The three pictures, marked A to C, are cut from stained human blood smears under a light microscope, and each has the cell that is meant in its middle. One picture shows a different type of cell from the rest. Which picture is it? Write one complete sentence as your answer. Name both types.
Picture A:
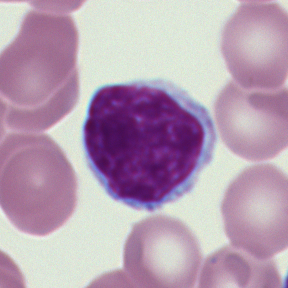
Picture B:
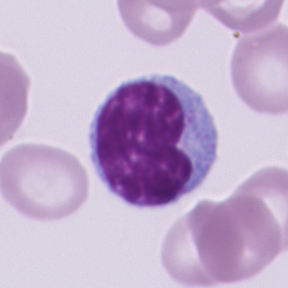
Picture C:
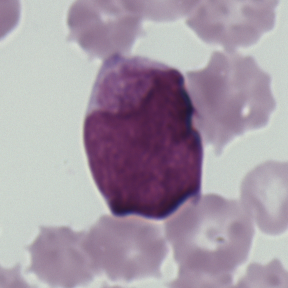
Unlike the rest, which show typical lymphocytes, picture C shows a myeloblast.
